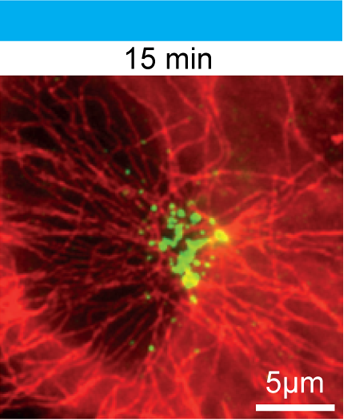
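This is part of a cultured cell with a dense network of red filamentous microtubules and a group of bright green dots near the center. The green dots are gathered together into an irregular cluster of many small and larger puncta rather than being spread through the cytoplasm. Red microtubules run outward from the region of the green cluster in many directions, forming a star-like radial array. A few isolated green dots still lie farther away along the filaments.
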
